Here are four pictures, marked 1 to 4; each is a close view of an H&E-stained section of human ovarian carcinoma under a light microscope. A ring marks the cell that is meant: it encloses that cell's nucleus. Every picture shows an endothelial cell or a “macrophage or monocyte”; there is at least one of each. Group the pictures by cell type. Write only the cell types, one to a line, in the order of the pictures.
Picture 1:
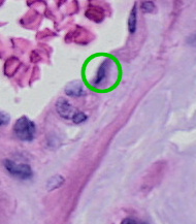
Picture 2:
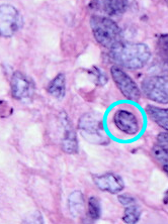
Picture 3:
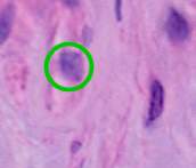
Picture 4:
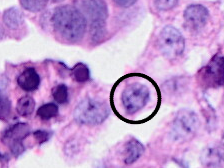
endothelial cell
macrophage or monocyte
endothelial cell
macrophage or monocyte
